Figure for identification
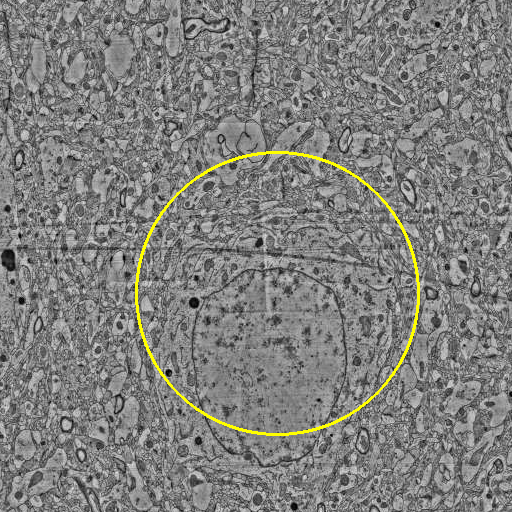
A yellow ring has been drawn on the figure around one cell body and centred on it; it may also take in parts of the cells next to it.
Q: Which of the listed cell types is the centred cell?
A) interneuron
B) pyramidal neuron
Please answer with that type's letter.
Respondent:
B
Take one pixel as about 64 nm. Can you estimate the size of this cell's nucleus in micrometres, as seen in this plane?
The ringed cell's nucleus measures approximately 13 by 10 micrometres in this plane.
